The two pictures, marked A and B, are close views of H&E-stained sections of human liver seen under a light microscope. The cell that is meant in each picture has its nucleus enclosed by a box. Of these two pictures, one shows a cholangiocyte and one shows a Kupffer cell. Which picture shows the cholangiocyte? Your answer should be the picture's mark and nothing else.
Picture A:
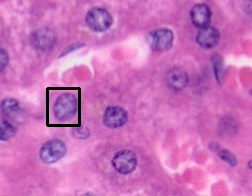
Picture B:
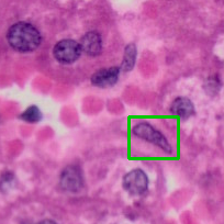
A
